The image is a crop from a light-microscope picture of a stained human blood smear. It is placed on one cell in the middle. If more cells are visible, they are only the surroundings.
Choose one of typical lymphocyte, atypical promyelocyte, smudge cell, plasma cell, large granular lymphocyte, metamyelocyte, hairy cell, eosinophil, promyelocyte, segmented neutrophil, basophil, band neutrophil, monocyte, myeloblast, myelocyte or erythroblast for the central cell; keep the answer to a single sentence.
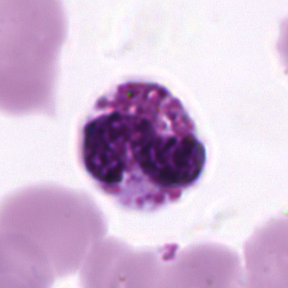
Among the cells in view, the one in the middle is an eosinophil.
